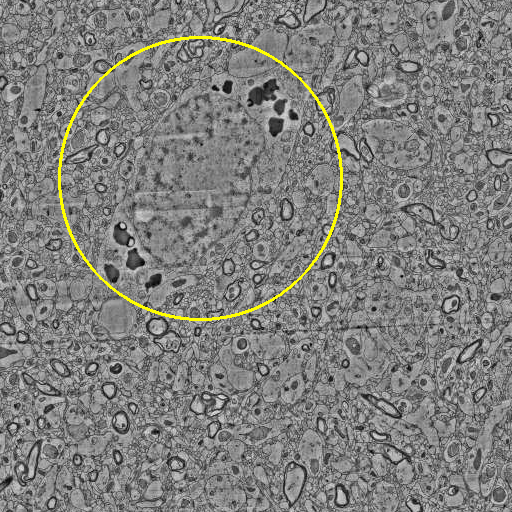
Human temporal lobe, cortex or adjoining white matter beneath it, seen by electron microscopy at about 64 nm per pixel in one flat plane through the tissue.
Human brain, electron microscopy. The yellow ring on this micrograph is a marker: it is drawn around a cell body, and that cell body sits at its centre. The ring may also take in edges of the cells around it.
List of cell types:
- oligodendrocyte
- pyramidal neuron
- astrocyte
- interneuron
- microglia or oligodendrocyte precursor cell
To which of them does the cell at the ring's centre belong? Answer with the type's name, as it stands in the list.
interneuron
